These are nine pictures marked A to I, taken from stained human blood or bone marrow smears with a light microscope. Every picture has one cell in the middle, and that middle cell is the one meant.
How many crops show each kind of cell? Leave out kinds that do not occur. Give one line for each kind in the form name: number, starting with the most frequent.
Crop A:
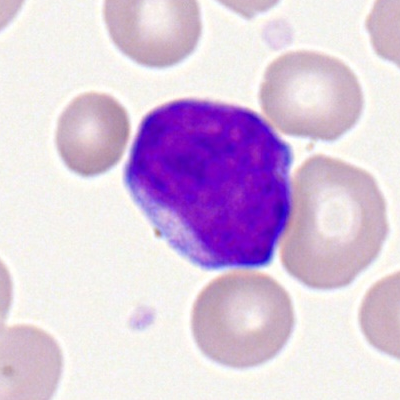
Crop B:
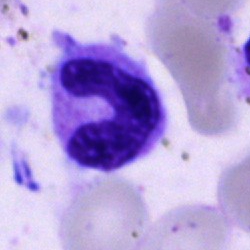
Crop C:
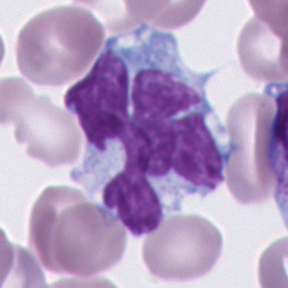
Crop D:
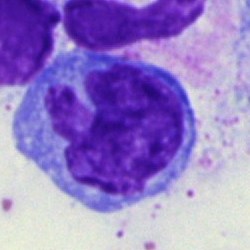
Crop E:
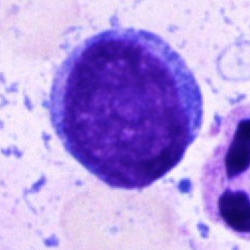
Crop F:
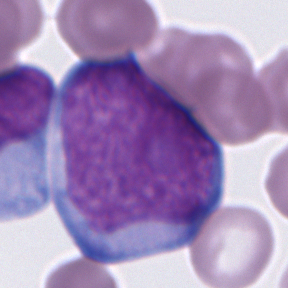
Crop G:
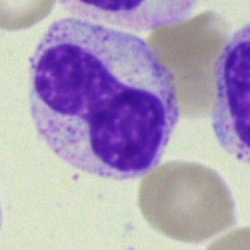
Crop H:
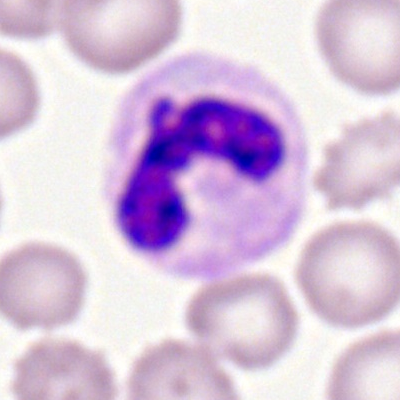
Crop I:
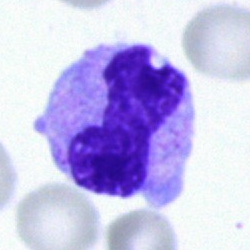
band neutrophil: 4
blast: 3
monocyte: 2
